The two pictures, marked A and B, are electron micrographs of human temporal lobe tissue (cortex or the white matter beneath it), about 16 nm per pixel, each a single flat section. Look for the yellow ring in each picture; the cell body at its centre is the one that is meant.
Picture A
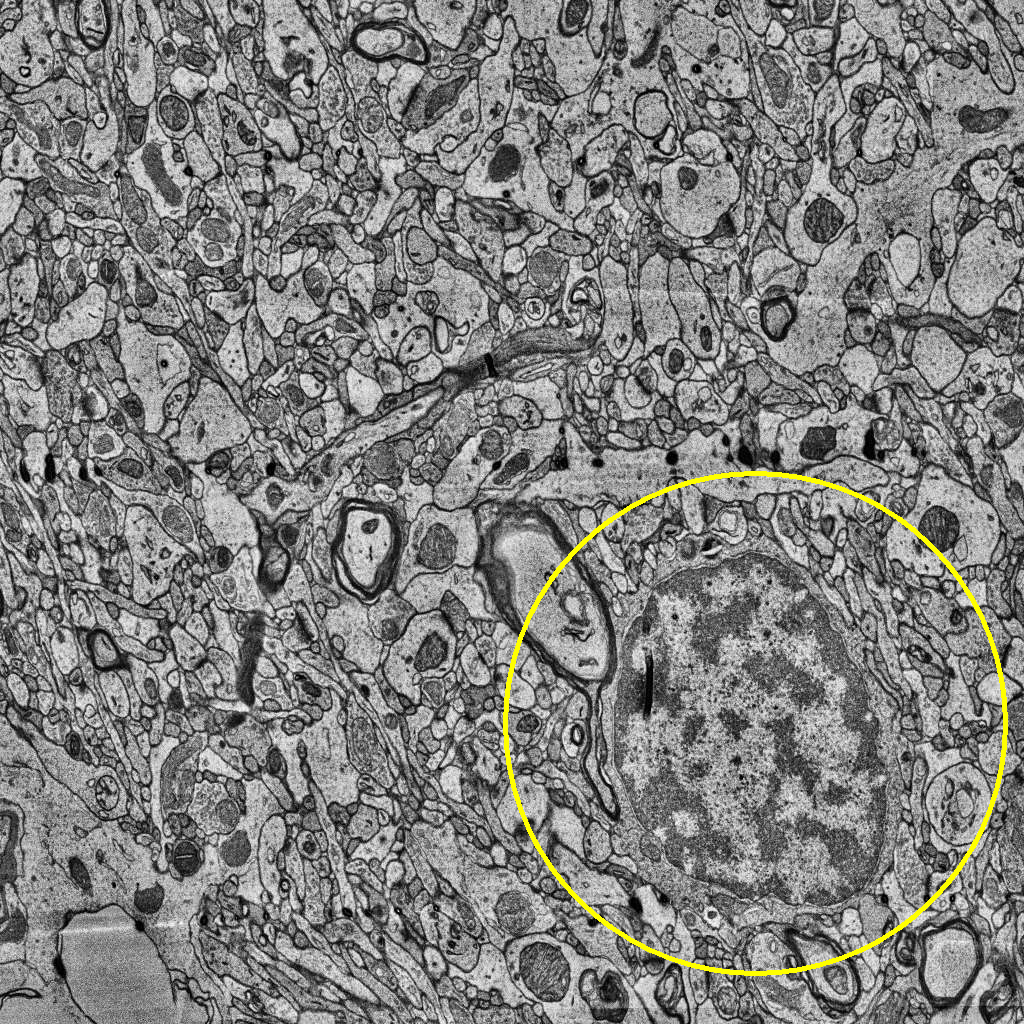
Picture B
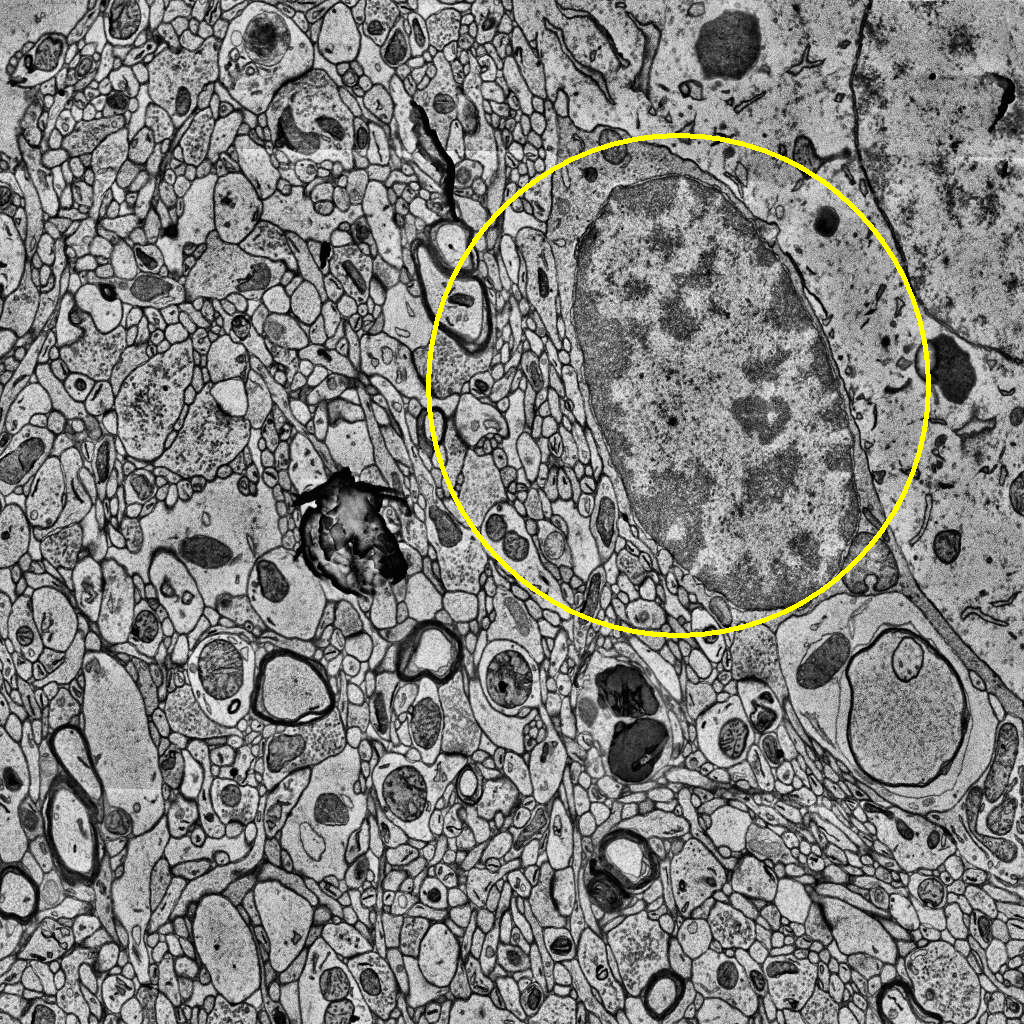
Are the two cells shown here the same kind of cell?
Yes; the cells in both pictures are oligodendrocytes.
